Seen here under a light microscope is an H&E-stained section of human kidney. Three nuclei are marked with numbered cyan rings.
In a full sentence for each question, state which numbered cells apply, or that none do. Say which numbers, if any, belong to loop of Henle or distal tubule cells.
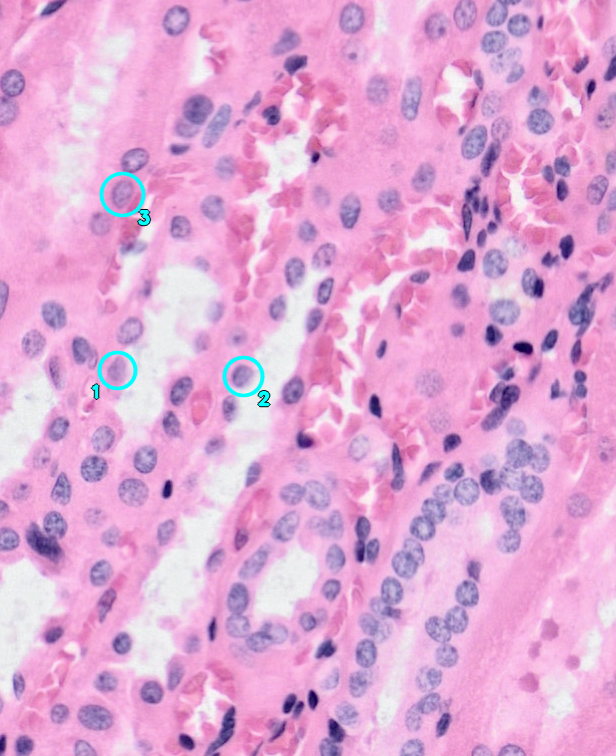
The cells which carry the numbers 1 and 2 are loop of Henle or distal tubule cells.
